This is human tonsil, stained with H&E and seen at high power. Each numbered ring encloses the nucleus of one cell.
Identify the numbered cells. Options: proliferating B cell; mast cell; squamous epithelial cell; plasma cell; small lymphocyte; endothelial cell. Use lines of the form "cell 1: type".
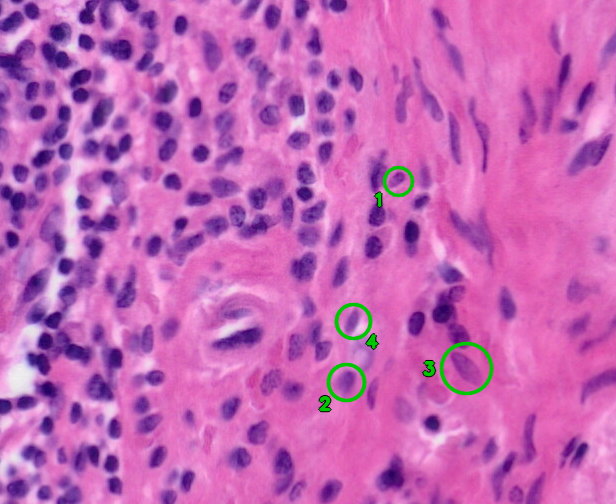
cell 1: mast cell
cell 2: endothelial cell
cell 3: endothelial cell
cell 4: endothelial cell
